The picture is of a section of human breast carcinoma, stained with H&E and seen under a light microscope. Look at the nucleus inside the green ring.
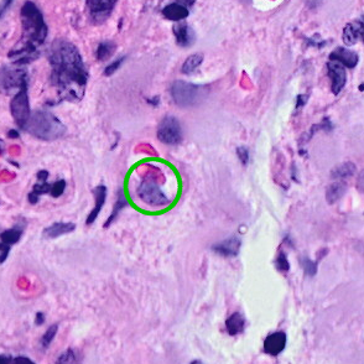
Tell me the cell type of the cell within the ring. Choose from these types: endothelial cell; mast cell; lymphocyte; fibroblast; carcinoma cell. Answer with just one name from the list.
endothelial cell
